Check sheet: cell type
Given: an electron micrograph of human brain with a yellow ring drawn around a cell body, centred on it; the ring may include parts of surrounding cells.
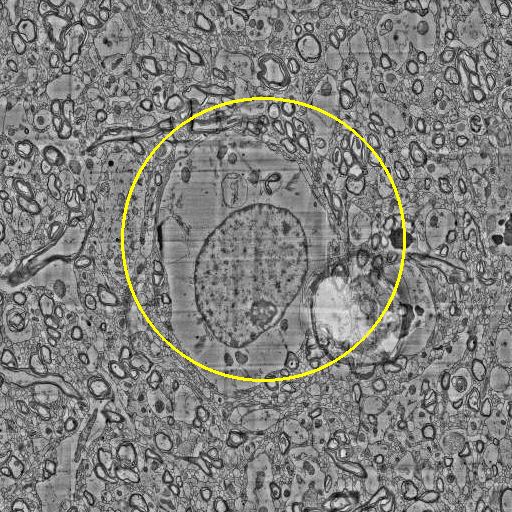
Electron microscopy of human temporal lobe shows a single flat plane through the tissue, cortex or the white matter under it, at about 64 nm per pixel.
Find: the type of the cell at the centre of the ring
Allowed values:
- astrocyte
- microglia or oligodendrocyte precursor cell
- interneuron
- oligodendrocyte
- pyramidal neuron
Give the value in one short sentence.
Here the ringed cell is an astrocyte.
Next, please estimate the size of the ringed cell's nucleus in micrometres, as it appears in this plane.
The nucleus has a long axis of about 9 micrometres and a short axis of about 7 micrometres in this plane.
